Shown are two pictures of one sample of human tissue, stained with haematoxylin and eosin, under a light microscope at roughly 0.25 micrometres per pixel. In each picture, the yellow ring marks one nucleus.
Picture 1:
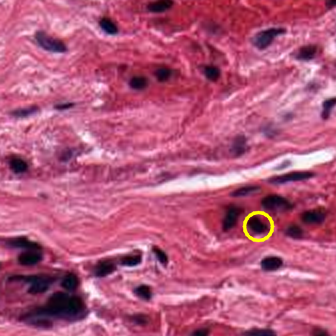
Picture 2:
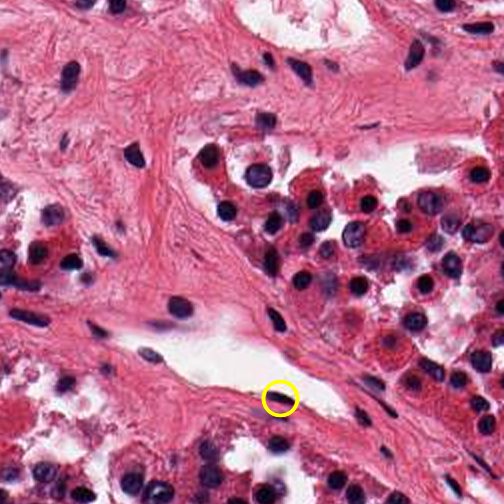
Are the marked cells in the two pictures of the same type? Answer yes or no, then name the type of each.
No, the first is an anterior pituitary cell and the second an endothelial cell.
